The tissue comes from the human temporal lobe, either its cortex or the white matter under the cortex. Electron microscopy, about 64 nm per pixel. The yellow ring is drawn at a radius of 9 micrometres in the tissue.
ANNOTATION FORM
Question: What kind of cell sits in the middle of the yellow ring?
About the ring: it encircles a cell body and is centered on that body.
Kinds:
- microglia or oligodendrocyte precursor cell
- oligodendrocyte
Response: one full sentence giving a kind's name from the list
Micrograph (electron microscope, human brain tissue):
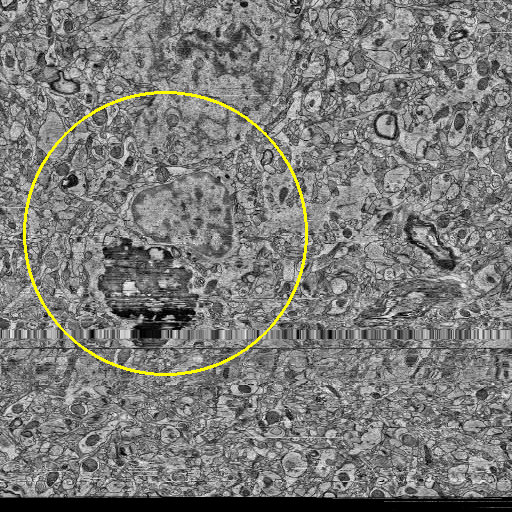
The kind of cell found at the center of the yellow ring in the micrograph is a microglial cell or oligodendrocyte precursor cell.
